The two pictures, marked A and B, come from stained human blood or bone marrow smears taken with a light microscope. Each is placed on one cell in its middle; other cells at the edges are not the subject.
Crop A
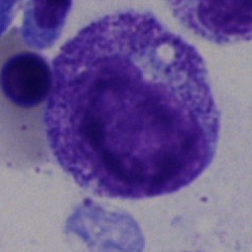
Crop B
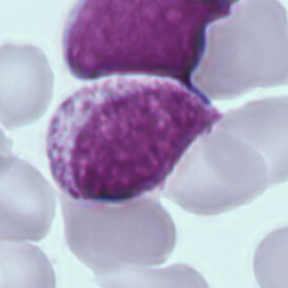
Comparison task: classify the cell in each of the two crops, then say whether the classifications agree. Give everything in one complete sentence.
Yes, the cells in the centres of the two crops are myelocytes.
